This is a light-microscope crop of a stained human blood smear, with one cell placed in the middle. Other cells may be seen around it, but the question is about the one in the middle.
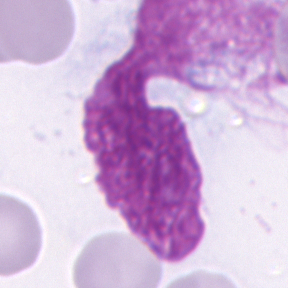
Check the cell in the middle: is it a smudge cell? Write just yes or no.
yes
